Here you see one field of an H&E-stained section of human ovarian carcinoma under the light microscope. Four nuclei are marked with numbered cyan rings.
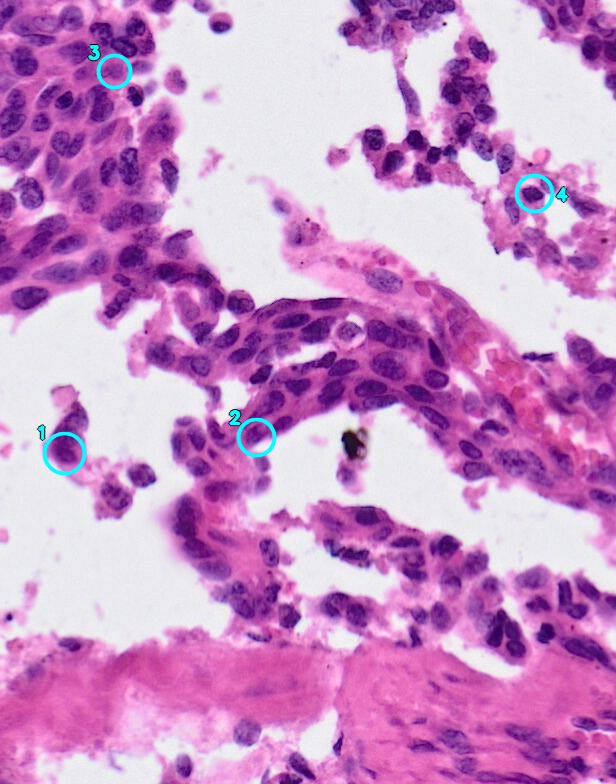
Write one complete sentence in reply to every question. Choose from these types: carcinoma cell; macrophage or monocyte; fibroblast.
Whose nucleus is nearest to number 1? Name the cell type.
It is a carcinoma cell whose nucleus is nearest to number 1.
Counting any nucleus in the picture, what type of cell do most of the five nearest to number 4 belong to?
Of the five nuclei nearest to number 4, most belong to macrophages or monocytes.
